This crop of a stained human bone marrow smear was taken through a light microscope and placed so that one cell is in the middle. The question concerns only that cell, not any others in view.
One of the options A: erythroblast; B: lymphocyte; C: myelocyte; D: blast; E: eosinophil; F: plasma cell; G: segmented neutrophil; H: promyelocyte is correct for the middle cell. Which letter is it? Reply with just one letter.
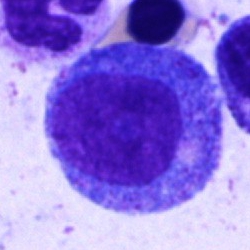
H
